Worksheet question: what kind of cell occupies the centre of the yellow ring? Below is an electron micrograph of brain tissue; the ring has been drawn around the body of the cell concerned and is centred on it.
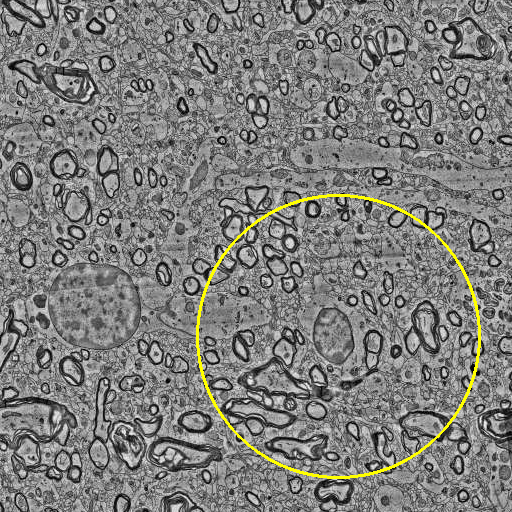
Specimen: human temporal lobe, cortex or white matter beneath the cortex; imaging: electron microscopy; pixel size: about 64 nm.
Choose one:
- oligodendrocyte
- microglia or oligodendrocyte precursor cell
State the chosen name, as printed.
microglia or oligodendrocyte precursor cell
